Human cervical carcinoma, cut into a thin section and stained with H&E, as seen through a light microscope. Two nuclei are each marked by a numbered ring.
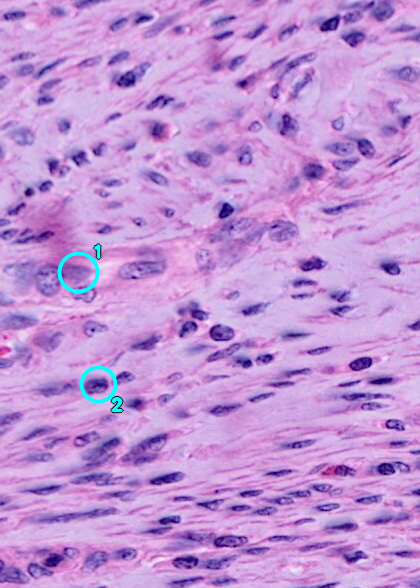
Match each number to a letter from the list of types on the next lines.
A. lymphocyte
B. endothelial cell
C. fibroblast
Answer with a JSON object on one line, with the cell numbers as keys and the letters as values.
{"1": "B", "2": "A"}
